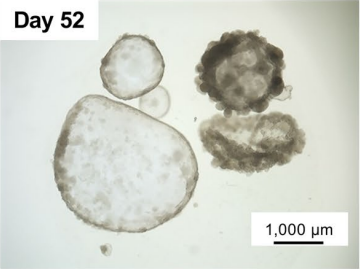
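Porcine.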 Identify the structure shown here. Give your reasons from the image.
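Organoids. Other spheres are dense and darker with a rough, budding surface.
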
